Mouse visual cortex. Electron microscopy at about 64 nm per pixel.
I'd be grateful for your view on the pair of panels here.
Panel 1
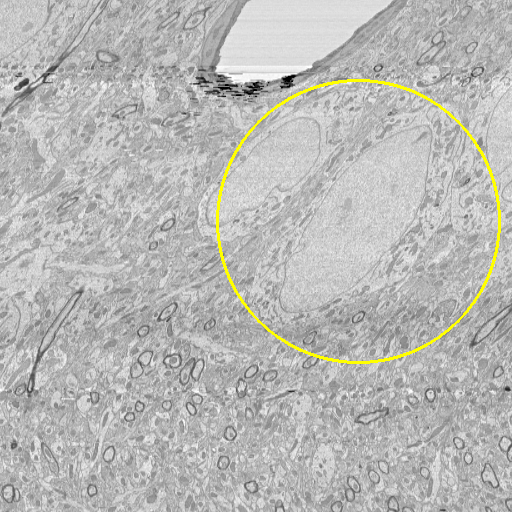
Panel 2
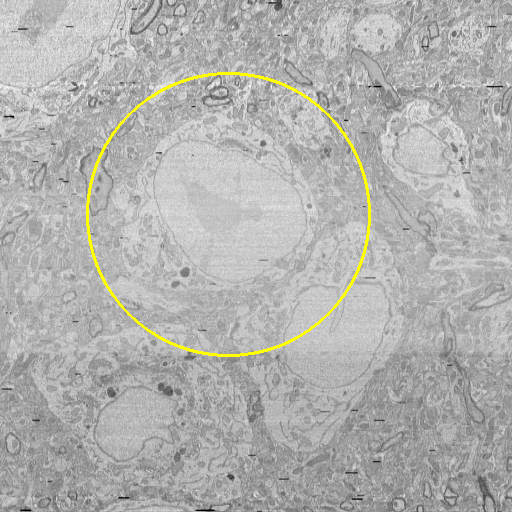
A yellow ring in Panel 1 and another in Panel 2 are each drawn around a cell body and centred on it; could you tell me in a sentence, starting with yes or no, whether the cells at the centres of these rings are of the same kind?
Yes, they are the same kind of cell.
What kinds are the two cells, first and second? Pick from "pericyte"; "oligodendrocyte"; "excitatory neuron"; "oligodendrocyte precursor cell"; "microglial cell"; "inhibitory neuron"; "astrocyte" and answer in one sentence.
In each of the two pictures, the ringed cell is an inhibitory neuron.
